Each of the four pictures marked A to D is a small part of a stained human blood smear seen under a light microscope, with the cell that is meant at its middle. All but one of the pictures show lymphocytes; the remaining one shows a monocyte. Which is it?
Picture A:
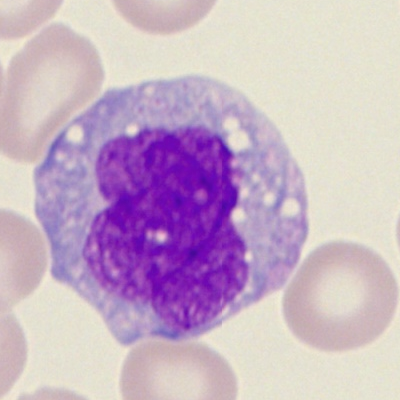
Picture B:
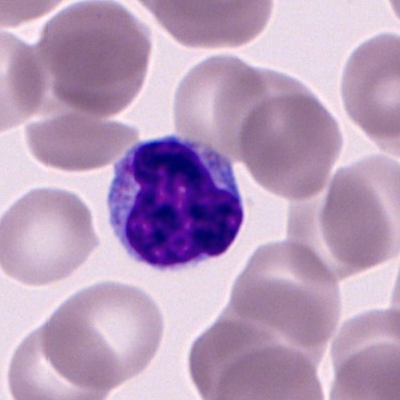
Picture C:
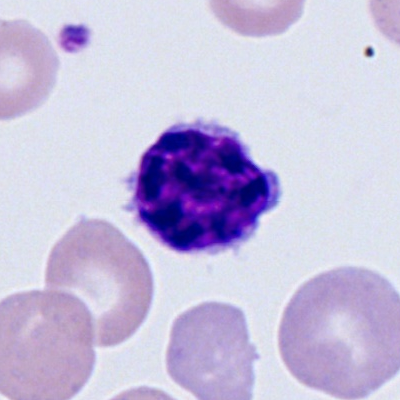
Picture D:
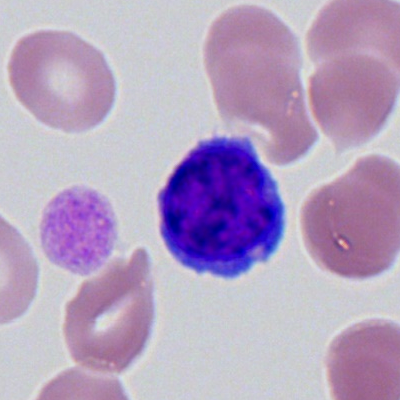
A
